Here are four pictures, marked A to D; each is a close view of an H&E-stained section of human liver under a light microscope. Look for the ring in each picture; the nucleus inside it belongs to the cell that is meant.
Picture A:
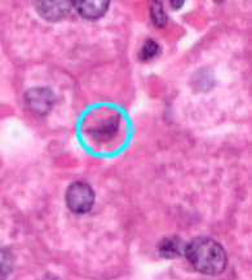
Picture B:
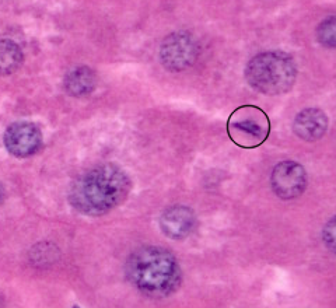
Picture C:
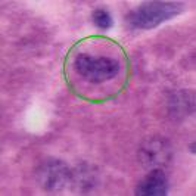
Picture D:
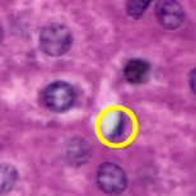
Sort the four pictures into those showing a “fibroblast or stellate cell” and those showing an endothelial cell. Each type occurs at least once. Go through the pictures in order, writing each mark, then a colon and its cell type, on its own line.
A: endothelial cell
B: fibroblast or stellate cell
C: fibroblast or stellate cell
D: endothelial cell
